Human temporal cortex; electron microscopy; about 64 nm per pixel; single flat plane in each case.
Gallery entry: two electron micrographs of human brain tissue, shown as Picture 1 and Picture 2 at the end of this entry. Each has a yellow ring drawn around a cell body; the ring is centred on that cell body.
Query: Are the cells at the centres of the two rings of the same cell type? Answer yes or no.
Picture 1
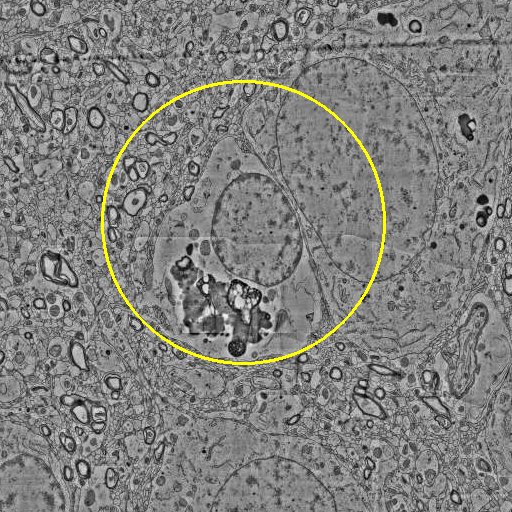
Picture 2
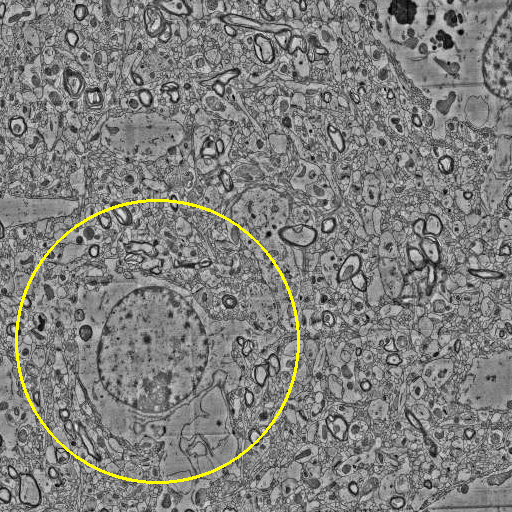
yes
